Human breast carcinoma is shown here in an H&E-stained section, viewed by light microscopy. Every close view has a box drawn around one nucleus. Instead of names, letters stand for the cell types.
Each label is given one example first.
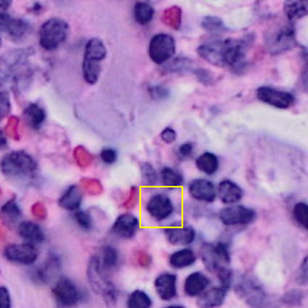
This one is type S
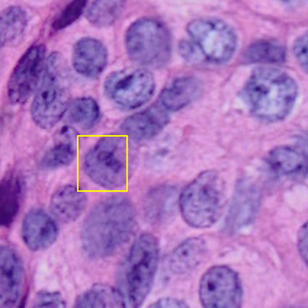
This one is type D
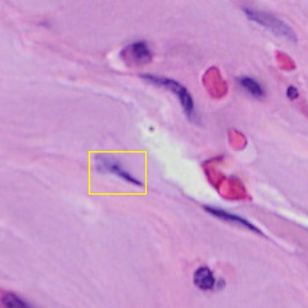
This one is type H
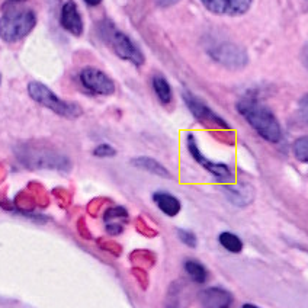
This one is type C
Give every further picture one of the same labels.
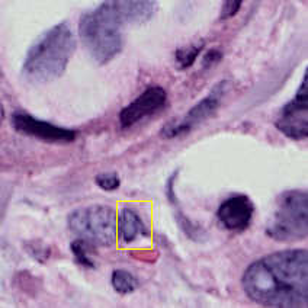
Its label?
type C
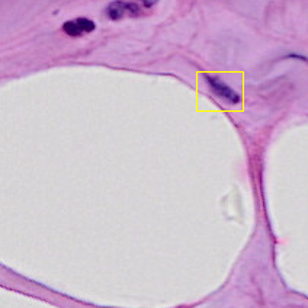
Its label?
type H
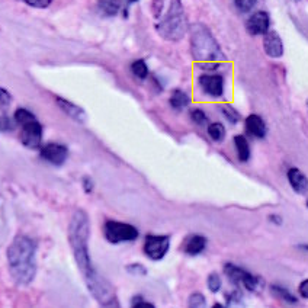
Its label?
type S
